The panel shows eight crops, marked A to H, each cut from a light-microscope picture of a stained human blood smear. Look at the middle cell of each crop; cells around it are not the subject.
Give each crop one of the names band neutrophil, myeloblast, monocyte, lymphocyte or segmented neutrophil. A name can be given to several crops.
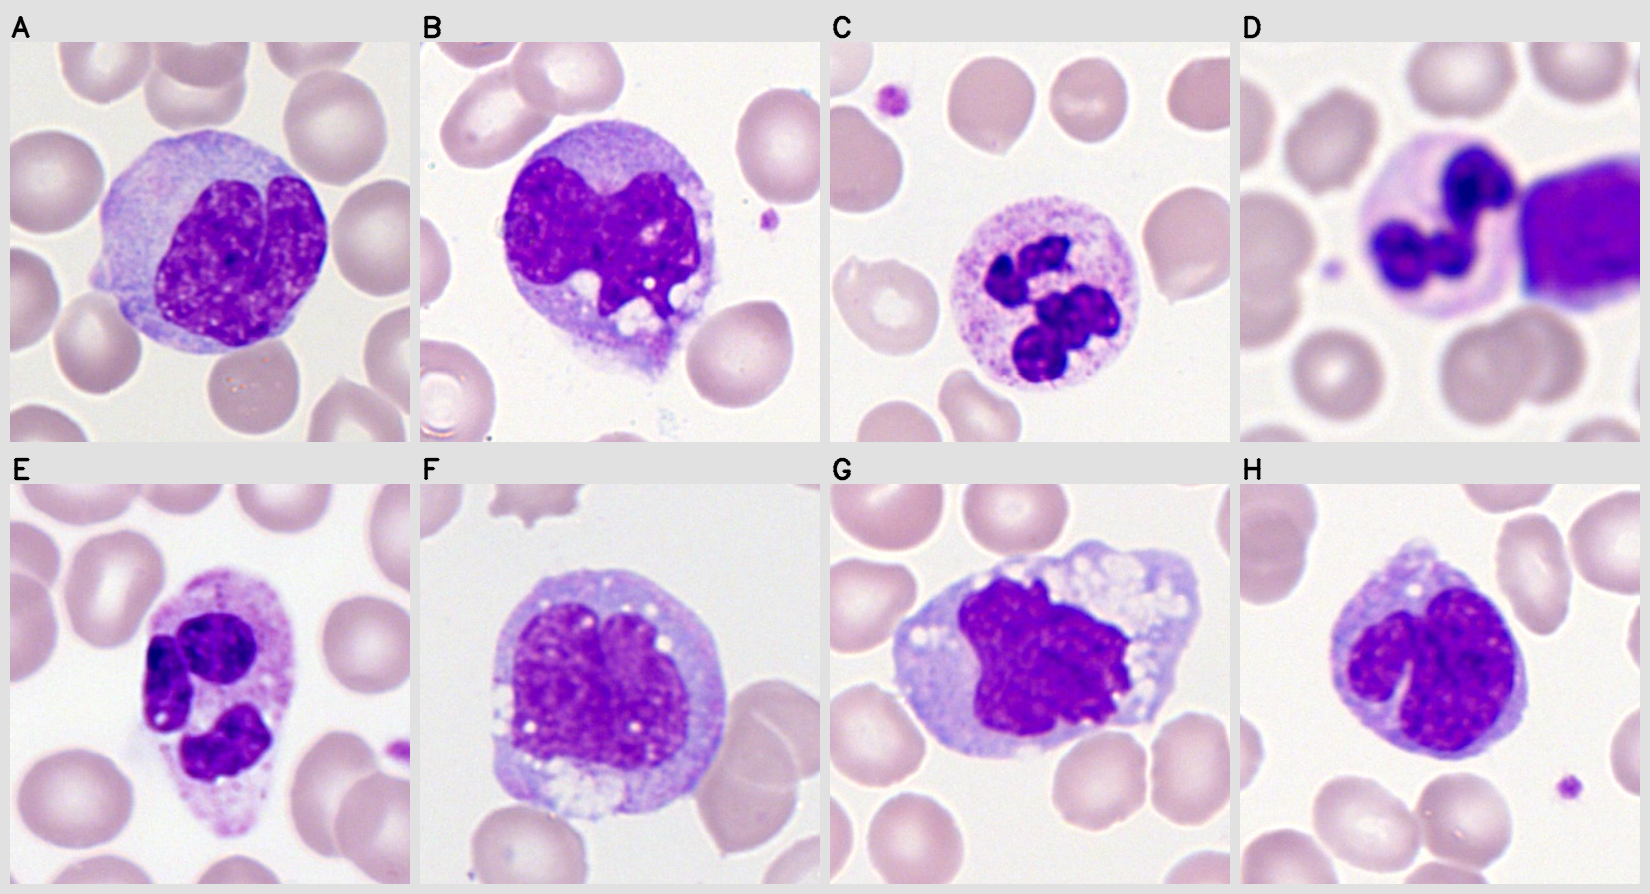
A: monocyte
B: monocyte
C: segmented neutrophil
D: segmented neutrophil
E: segmented neutrophil
F: monocyte
G: monocyte
H: monocyte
